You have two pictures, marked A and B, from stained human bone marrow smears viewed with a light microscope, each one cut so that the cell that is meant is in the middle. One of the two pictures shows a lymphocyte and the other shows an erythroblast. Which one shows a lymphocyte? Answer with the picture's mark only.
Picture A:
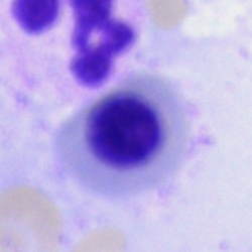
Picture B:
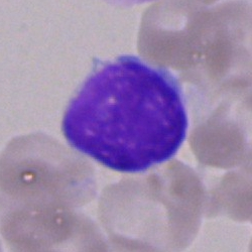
B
